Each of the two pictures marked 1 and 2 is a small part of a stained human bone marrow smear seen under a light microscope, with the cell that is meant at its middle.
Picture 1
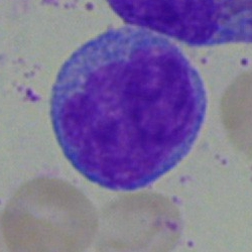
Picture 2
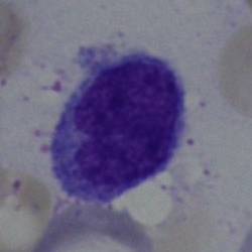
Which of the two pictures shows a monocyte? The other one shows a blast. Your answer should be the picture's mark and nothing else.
2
